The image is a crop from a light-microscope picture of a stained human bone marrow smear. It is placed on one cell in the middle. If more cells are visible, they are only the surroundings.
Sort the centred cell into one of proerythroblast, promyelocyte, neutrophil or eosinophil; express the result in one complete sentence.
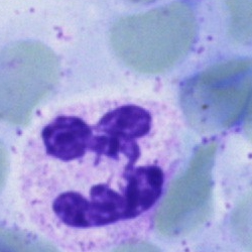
The identification for the central cell is a neutrophil.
